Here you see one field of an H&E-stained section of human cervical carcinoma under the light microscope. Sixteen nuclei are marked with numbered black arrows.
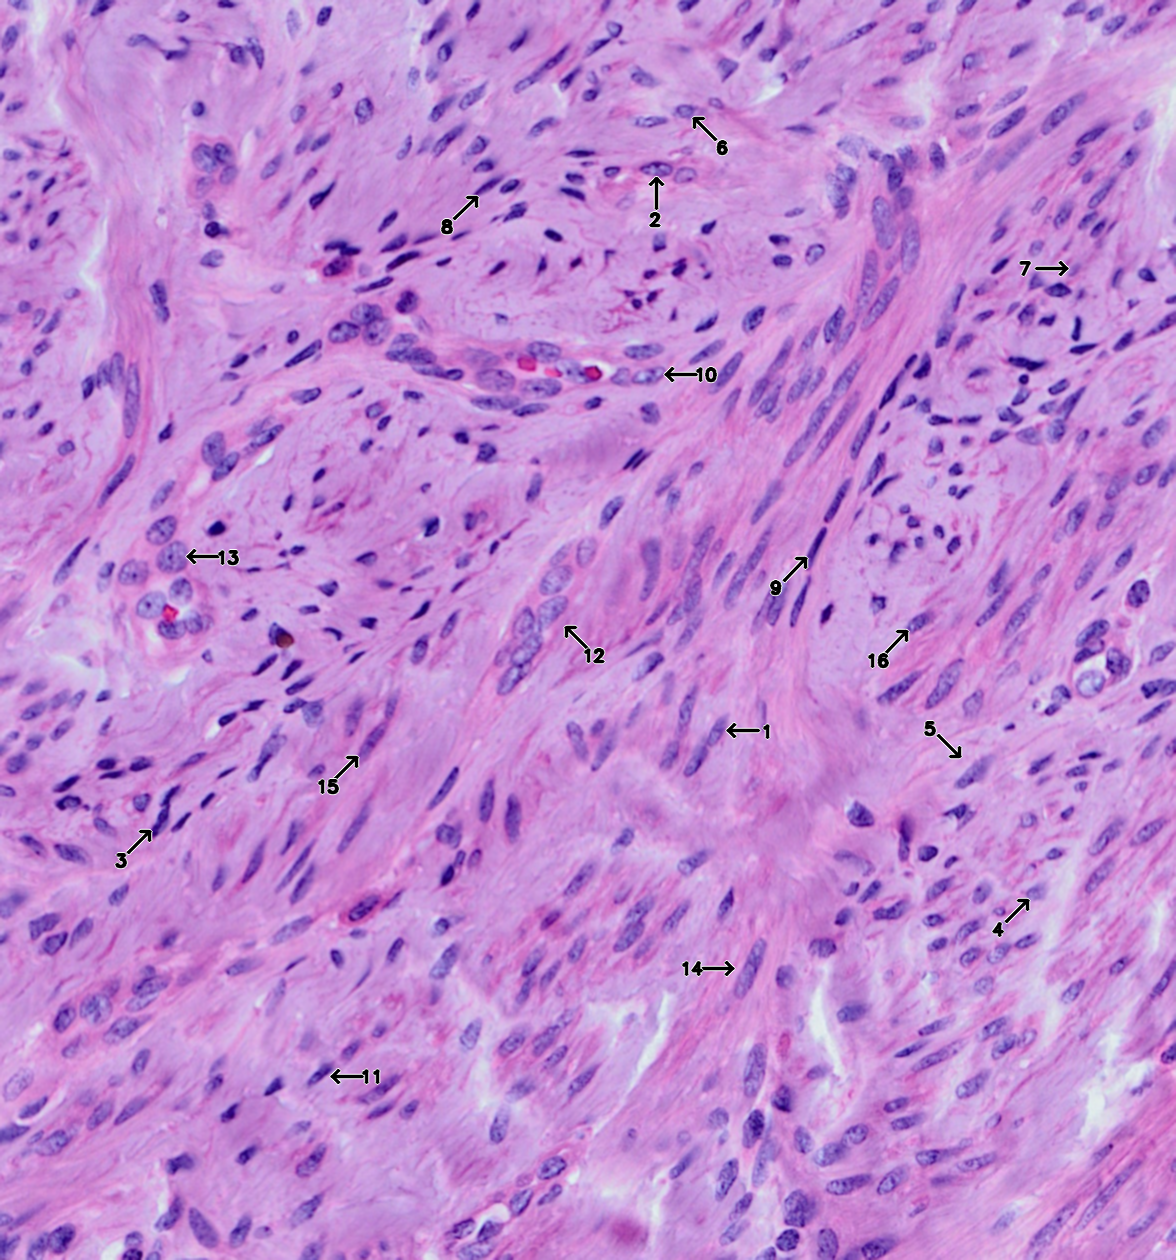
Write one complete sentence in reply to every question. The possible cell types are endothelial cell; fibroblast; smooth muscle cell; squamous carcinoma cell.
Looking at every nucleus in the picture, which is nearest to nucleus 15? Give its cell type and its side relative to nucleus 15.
The nearest one is a smooth muscle cell, found above and to the left of nucleus 15.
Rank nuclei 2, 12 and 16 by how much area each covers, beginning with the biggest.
Largest first, the order by area is 12, 2, 16.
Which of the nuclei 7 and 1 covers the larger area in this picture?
Nucleus 1 is larger, with an area about 2.5 times that of nucleus 7.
